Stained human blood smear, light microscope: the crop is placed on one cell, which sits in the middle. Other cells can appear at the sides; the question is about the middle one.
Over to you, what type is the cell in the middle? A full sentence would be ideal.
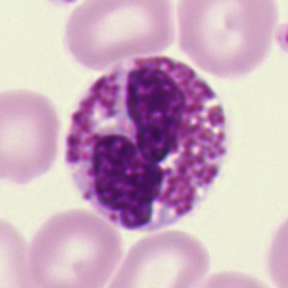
By type, the central cell of the crop is an eosinophil.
